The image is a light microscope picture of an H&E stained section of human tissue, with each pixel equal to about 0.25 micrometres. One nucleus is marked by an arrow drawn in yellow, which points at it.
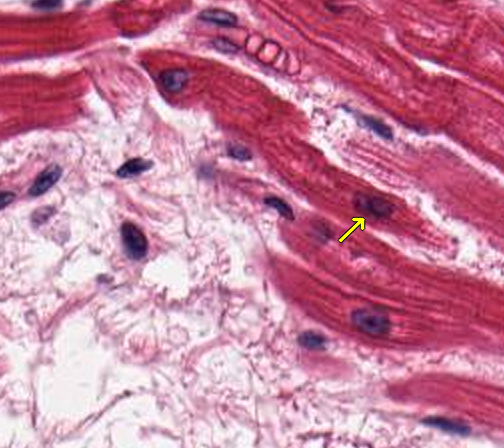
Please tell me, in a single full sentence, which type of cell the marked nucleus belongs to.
The marked nucleus is contained in a cardiomyocyte.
